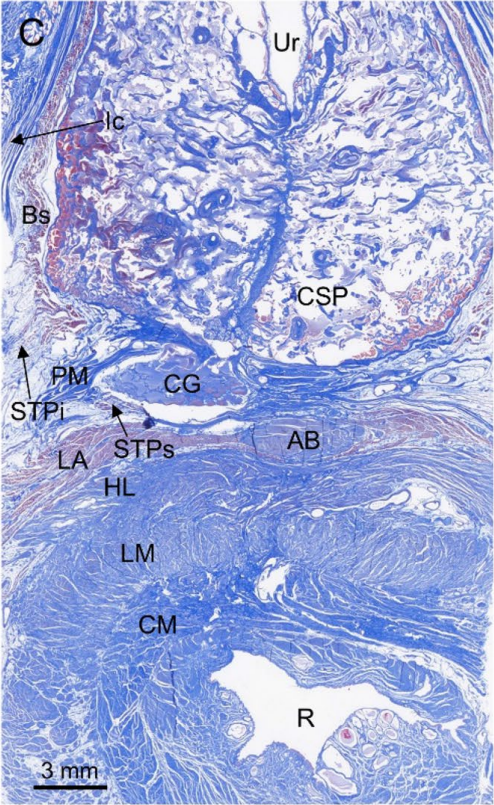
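This transverse section of the perineum shows a large spongy erectile body at the top, divided by a blue fibrous septum and traversed by a slit-like channel, with red striated muscle along its lateral edge. Beneath it lies a small, oval, blue-staining glandular body flanked by fibrous sheets and a few red muscle fibres. Lower down, thick masses of blue-staining muscle in longitudinal and circular layers surround an irregular lumen at the bottom. Blue-staining collagen predominates, with red muscle fibres mainly at the sides.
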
